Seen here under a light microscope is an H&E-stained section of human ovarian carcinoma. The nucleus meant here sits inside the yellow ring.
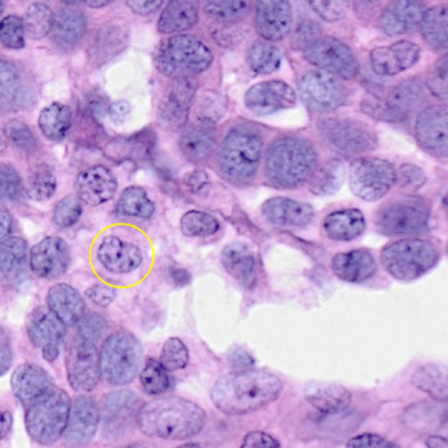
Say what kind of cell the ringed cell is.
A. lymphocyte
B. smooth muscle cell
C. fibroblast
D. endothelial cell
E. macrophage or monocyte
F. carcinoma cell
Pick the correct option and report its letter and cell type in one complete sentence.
Given that the ringed cell is a macrophage or monocyte, option E is the correct one.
